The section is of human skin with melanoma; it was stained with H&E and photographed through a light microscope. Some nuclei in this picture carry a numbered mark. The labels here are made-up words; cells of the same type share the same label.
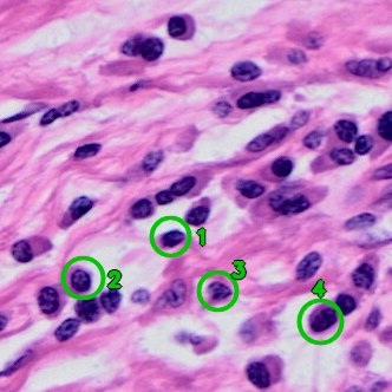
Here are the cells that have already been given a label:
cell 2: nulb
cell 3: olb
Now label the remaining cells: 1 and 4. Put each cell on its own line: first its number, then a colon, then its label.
1: olb
4: nulb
